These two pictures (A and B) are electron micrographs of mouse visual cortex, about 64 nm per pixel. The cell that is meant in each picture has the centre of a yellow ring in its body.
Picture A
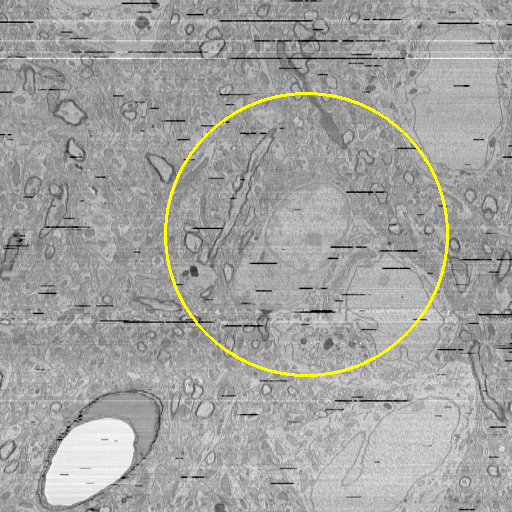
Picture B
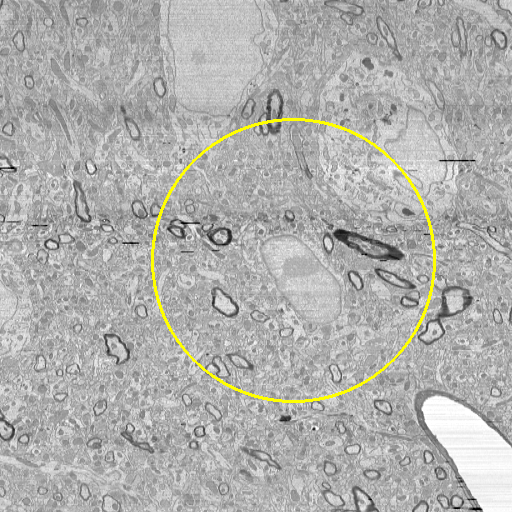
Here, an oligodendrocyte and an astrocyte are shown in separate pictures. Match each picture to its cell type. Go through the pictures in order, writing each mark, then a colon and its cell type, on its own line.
A: oligodendrocyte
B: astrocyte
